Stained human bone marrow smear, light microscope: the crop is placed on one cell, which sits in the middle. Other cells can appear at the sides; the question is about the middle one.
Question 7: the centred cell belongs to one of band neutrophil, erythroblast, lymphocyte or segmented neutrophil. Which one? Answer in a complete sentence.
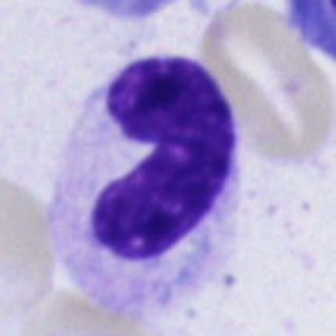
In the middle of this smear crop, the cell is a band neutrophil.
